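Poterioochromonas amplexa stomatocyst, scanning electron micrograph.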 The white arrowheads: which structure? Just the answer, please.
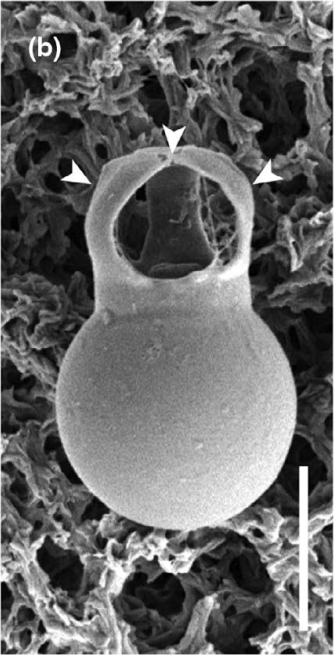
Curved projections.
